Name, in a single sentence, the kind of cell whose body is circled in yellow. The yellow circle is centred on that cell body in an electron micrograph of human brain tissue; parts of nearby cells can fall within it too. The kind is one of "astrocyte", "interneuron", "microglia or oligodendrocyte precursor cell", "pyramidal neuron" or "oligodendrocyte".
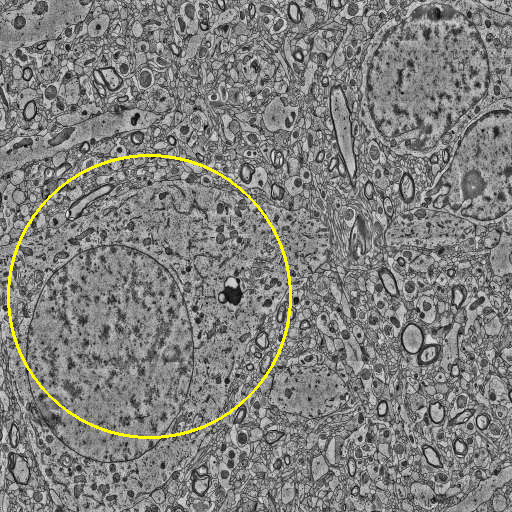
The circled cell body belongs to a pyramidal neuron.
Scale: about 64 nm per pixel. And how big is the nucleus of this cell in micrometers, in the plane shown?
The nucleus has a long axis of about 14 micrometres and a short axis of about 11 micrometres in this plane.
